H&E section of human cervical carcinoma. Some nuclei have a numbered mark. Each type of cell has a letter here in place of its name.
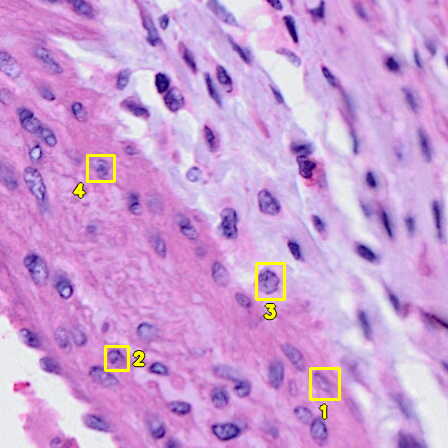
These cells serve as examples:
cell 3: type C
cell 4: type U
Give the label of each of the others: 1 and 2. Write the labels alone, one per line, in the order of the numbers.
type U
type U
